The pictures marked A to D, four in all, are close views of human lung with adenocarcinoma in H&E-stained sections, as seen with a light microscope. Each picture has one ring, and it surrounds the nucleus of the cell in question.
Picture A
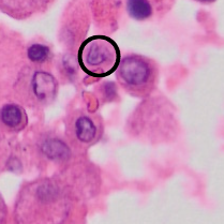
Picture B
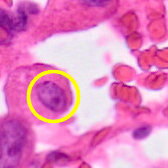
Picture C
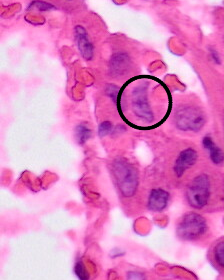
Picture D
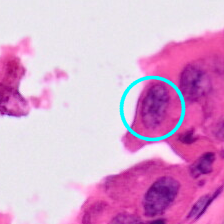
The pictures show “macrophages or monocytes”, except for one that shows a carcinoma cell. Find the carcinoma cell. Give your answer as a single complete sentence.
The carcinoma cell is the one in picture D.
